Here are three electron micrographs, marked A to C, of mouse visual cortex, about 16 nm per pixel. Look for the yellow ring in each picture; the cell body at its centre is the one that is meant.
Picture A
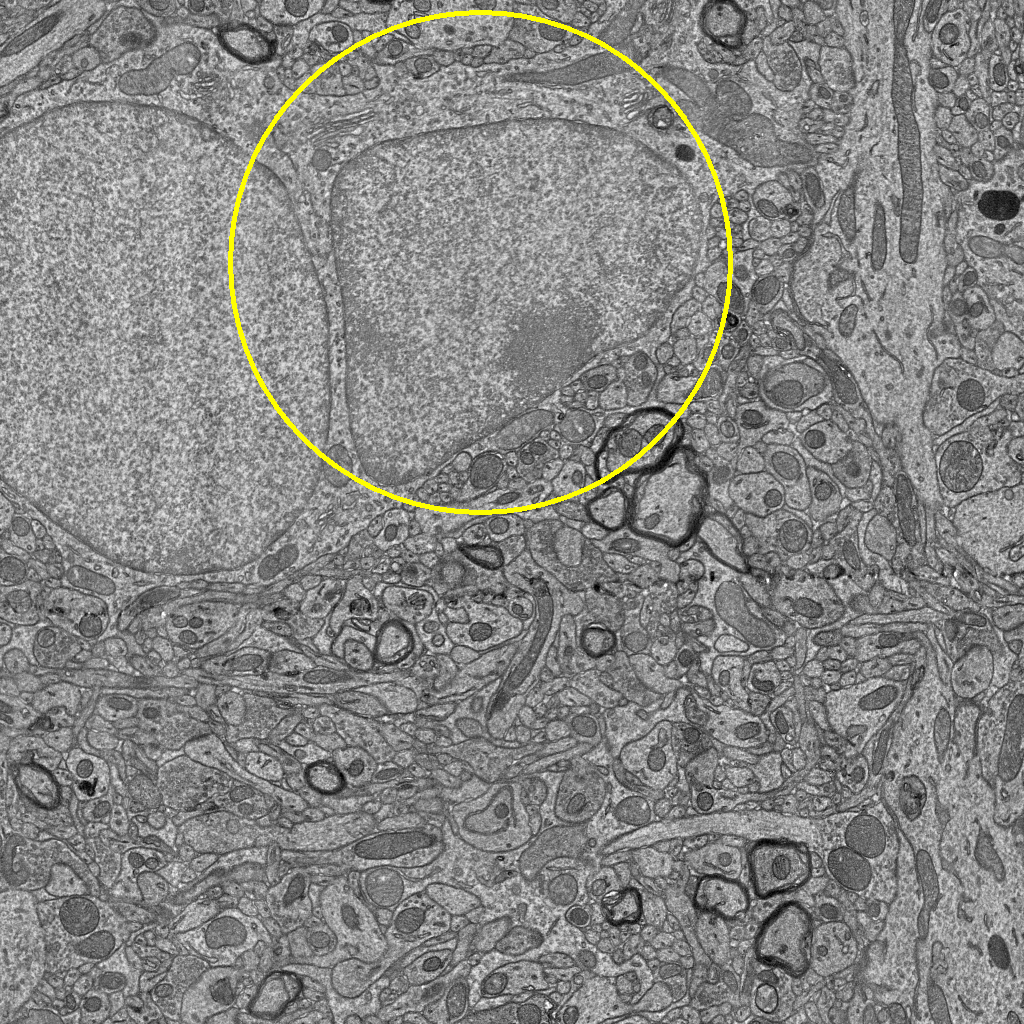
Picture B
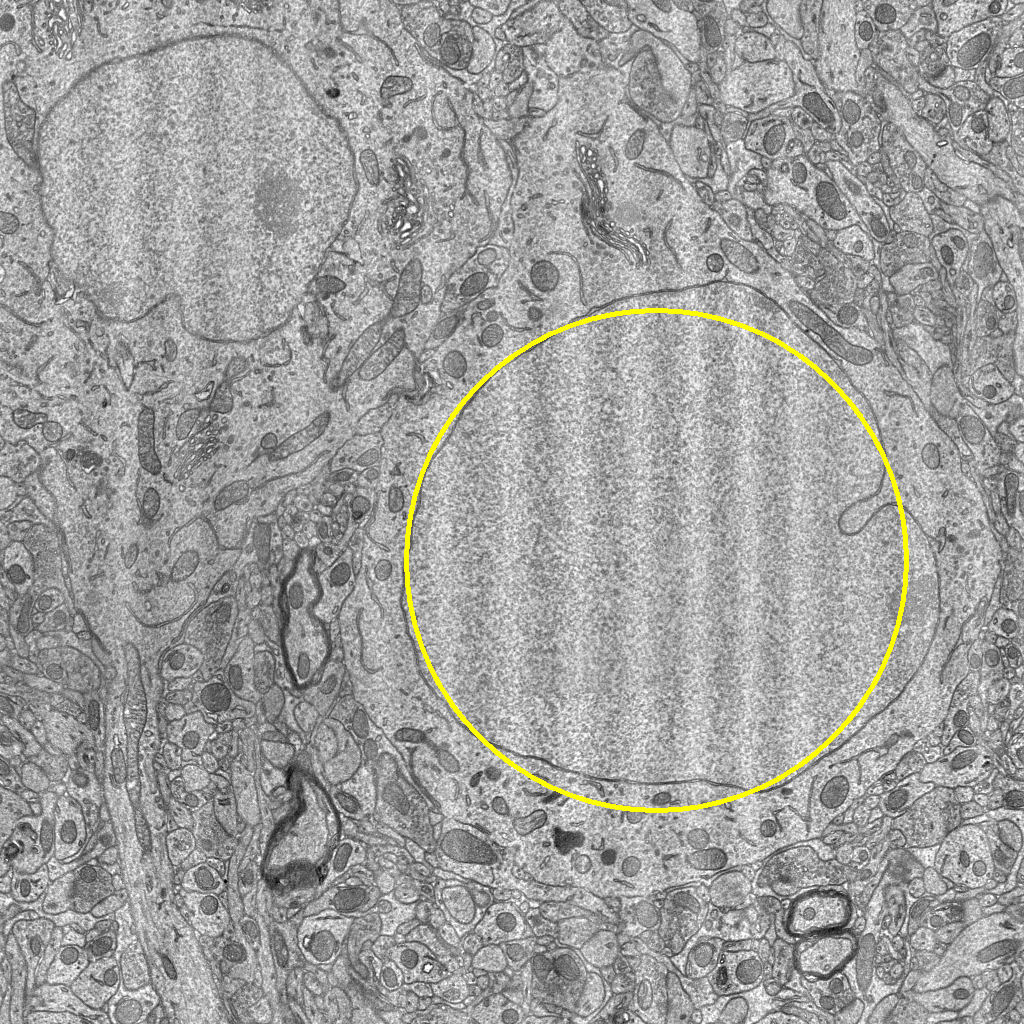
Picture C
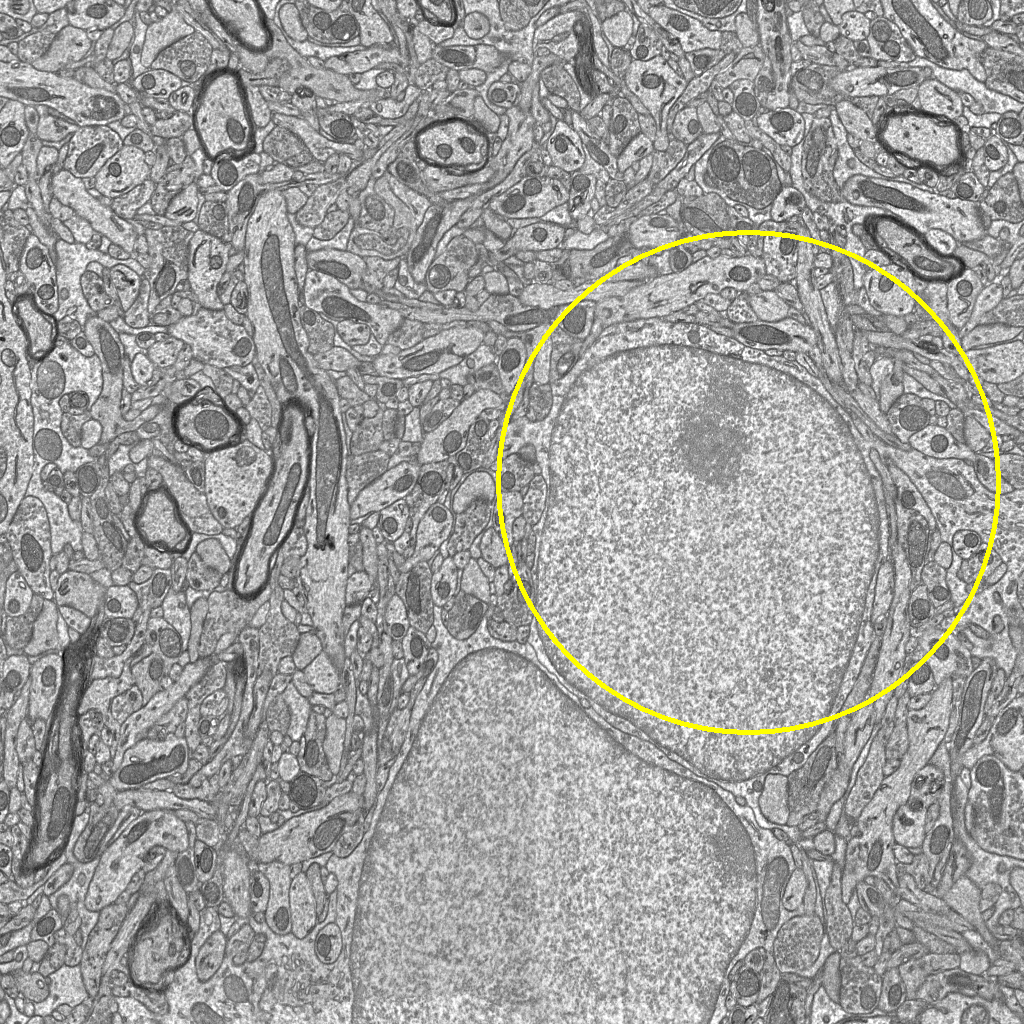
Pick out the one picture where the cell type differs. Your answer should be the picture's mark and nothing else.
B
